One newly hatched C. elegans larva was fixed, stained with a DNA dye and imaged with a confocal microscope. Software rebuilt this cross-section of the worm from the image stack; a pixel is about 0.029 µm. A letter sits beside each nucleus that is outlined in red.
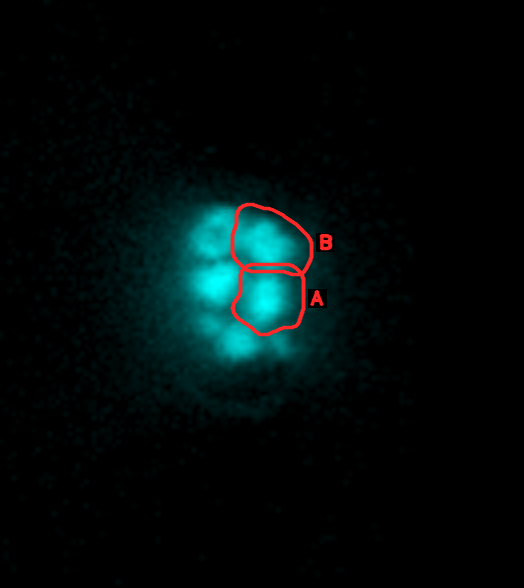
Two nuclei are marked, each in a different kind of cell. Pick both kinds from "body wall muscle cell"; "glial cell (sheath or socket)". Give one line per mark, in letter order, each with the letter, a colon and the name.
A: glial cell (sheath or socket)
B: body wall muscle cell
